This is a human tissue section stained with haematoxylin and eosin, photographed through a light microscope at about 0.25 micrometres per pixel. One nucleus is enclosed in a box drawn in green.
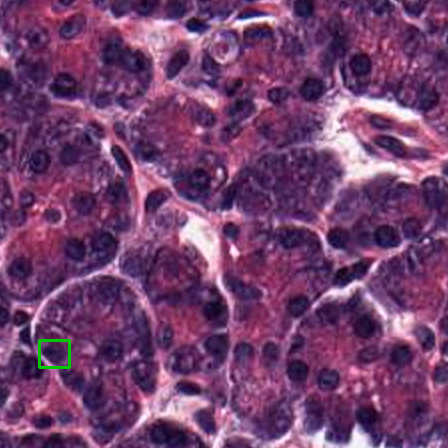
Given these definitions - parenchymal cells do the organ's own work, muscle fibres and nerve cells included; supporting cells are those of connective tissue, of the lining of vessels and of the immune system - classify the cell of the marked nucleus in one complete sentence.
In the tissue shown, the marked nucleus is that of a pancreatic acinar cell, a parenchymal cell.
